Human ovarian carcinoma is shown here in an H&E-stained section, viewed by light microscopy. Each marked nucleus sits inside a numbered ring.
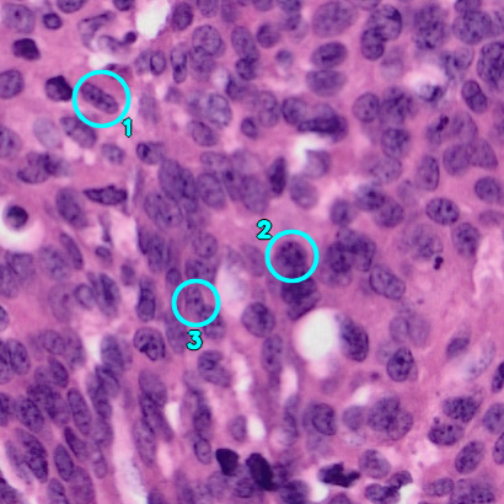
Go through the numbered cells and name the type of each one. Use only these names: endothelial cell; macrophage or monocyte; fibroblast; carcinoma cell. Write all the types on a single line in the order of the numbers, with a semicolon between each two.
macrophage or monocyte; carcinoma cell; carcinoma cell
